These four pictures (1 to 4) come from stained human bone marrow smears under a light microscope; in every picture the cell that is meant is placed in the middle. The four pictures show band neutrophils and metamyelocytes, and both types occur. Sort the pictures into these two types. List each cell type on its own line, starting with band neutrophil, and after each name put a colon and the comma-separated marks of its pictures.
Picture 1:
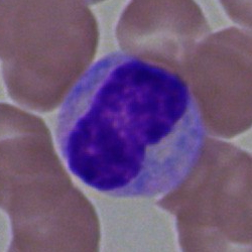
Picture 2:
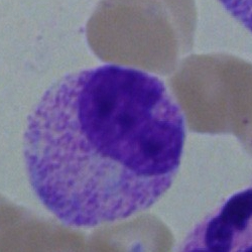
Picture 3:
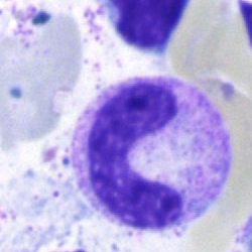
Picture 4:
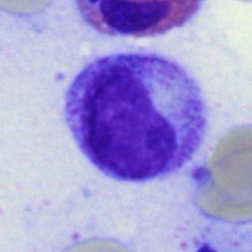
band neutrophil: 3
metamyelocyte: 1, 2, 4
